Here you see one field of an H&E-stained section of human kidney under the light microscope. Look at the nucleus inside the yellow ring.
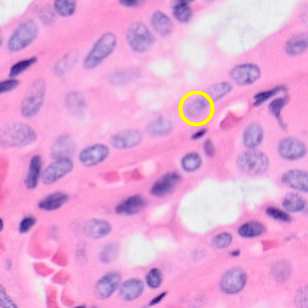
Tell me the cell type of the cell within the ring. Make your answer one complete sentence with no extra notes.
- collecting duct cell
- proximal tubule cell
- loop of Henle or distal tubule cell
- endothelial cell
It is as a collecting duct cell that the cell within the ring is recorded.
